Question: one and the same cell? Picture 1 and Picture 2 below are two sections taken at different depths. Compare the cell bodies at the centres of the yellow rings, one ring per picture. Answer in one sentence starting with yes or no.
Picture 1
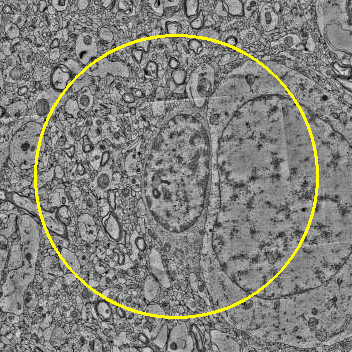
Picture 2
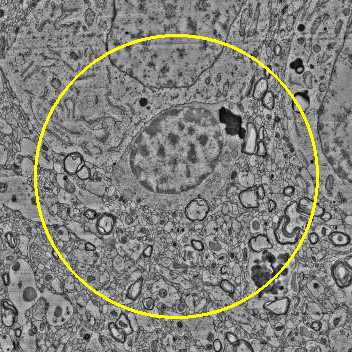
No, the cells within these rings are two separate cells.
